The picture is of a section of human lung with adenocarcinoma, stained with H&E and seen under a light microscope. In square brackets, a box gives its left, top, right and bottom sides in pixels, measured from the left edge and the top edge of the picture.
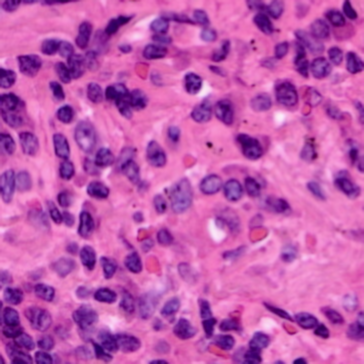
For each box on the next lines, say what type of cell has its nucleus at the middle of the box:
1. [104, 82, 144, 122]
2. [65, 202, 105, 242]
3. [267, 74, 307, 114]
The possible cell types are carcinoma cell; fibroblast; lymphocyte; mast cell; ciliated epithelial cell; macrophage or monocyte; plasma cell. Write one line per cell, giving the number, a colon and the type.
1: lymphocyte
2: plasma cell
3: plasma cell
